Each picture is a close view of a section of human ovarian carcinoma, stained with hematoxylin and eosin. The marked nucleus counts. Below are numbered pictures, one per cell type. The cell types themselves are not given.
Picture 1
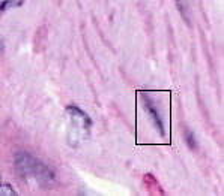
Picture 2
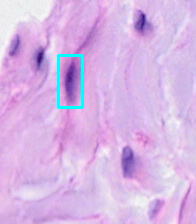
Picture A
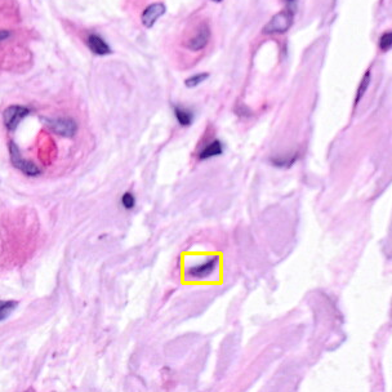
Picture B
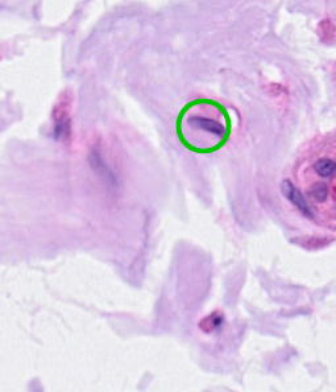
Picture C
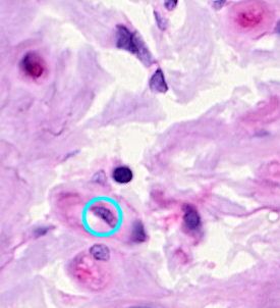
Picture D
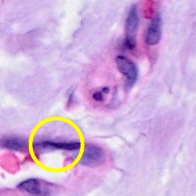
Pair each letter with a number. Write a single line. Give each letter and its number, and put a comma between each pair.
A 2, B 2, C 2, D 2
